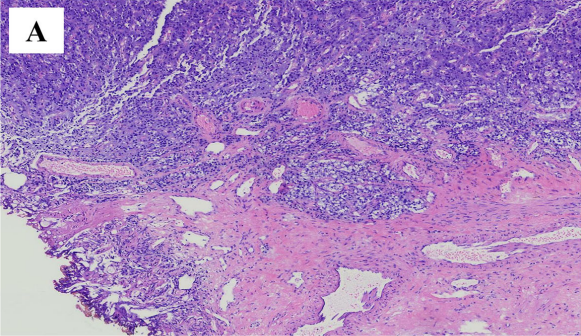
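This is a tumor seen at low-to-medium power, with a densely cellular purple zone in the upper part and pink fibrous tissue below. Between the cell groups run thin strands of stroma carrying thin-walled vascular spaces, some filled with pink blood. The border between the cellular tumor and the pink fibrous tissue is fairly well defined, though small groups of tumor cells extend into the stroma. Larger thin-walled vessels and clefts are scattered through the pink tissue beneath.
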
